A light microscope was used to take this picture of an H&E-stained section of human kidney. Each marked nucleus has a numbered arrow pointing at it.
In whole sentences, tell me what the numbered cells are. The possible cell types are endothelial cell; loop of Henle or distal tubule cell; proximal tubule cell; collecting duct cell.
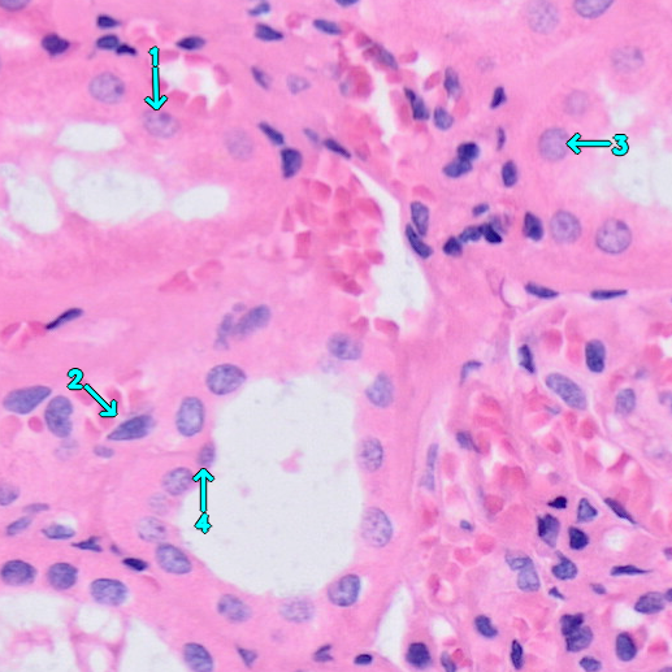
Cells 1 and 3 are proximal tubule cells. Cell 2 is an endothelial cell. Cell 4 is a loop of Henle or distal tubule cell.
